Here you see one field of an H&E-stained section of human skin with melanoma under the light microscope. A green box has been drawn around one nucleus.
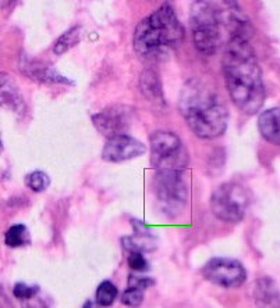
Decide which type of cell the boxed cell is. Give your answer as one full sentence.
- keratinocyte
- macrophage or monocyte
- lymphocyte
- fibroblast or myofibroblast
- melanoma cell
Assigned to a cell type, the boxed cell is a melanoma cell.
